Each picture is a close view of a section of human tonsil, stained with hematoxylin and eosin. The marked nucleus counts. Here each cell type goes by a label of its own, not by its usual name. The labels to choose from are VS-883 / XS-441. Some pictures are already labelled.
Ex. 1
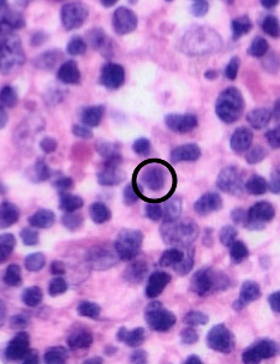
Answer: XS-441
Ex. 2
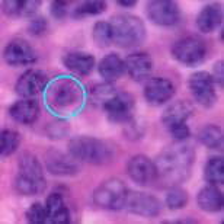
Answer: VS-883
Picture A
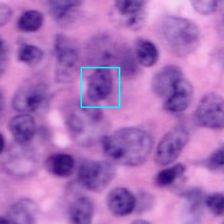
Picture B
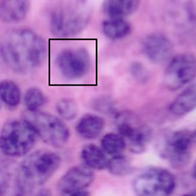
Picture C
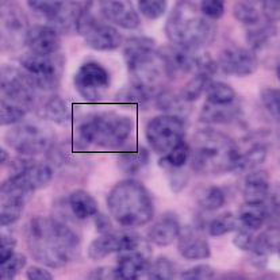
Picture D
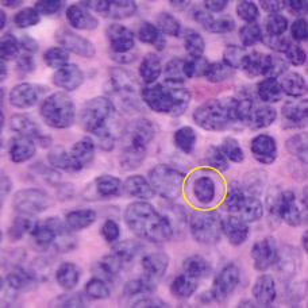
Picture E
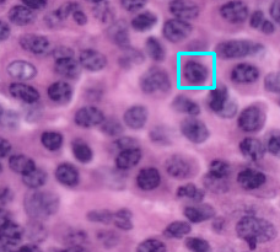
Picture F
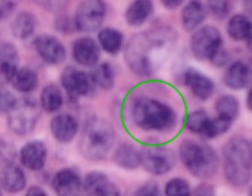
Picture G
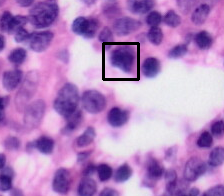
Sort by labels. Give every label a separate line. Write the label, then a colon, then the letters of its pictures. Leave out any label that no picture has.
VS-883: E
XS-441: A, B, C, D, F, G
